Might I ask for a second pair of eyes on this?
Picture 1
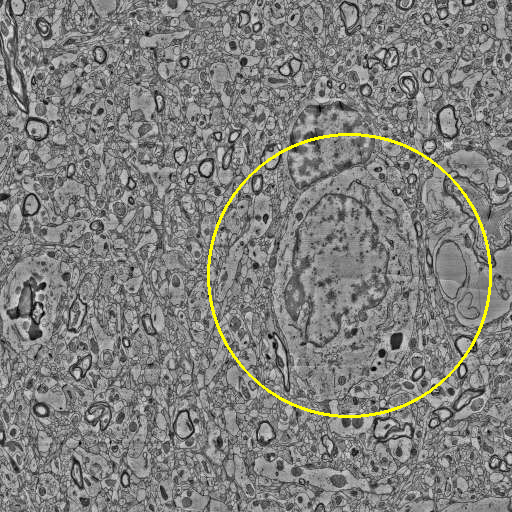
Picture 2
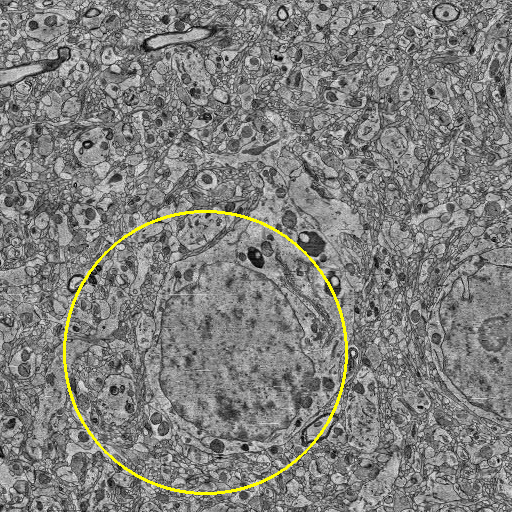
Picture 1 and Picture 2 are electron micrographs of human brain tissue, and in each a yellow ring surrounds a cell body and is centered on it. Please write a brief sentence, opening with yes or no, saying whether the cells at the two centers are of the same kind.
Yes, the cells are of the same kind.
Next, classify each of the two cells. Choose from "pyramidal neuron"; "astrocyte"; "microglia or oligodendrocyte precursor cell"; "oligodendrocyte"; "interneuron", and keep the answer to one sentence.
Each one of the two ringed cells is an interneuron.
